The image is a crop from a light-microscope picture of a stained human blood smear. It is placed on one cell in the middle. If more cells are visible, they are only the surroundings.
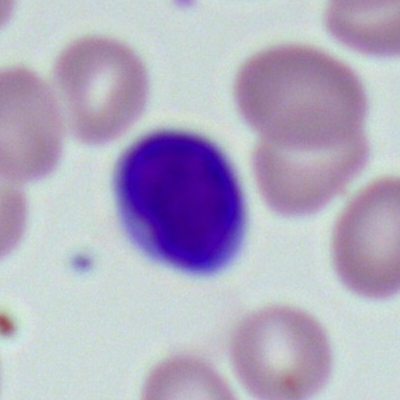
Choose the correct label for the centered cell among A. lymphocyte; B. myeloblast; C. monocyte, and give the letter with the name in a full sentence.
Option A holds, for the cell in the middle is a lymphocyte.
